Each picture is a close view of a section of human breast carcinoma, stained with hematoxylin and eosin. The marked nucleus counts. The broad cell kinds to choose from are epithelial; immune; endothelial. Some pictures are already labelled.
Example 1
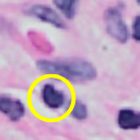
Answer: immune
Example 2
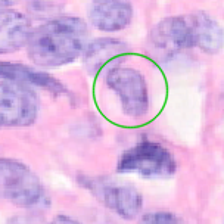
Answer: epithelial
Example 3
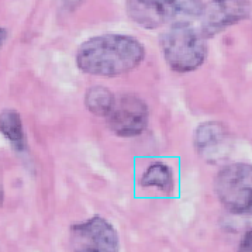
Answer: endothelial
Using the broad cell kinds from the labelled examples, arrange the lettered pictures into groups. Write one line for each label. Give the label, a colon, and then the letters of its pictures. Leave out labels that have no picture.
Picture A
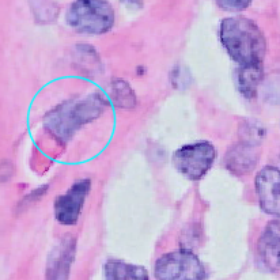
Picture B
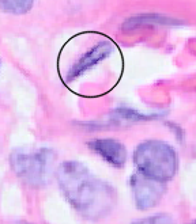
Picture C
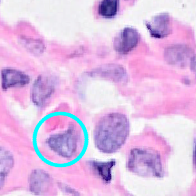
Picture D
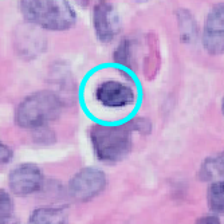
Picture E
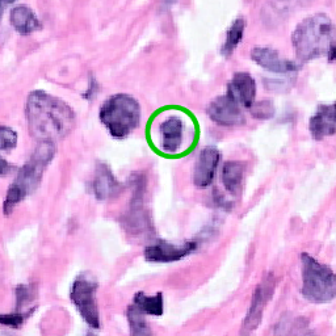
immune: D, E
endothelial: A, B, C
